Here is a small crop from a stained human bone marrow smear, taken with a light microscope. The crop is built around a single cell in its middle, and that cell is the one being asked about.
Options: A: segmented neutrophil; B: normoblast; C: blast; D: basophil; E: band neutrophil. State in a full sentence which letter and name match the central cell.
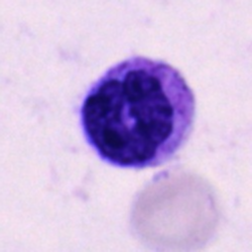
Option E is correct in that the central cell is a band neutrophil.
